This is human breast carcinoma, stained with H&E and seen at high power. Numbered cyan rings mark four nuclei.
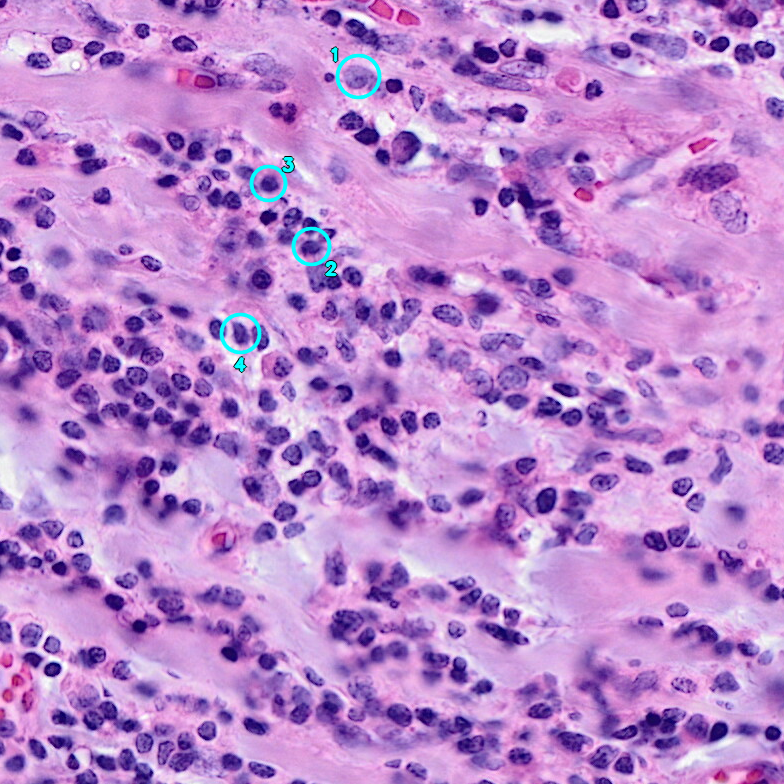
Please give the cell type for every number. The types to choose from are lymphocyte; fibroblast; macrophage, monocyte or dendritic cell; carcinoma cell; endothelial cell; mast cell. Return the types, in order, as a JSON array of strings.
["macrophage, monocyte or dendritic cell", "lymphocyte", "lymphocyte", "lymphocyte"]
